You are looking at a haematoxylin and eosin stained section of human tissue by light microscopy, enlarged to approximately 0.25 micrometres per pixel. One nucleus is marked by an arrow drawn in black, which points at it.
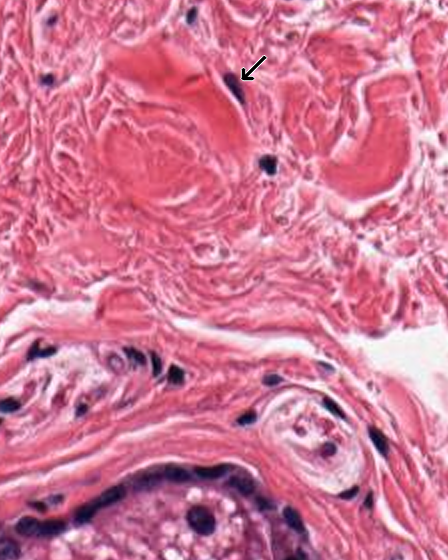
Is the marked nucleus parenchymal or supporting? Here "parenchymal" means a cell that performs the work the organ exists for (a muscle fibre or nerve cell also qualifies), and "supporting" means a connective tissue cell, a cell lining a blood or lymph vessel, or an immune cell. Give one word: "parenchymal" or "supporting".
supporting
